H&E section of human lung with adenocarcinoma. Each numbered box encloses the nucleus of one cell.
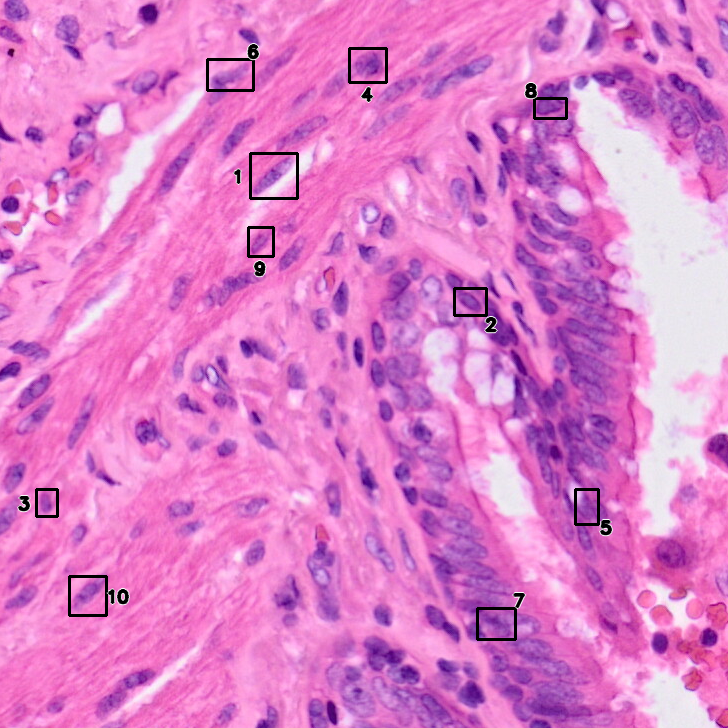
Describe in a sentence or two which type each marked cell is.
Cells 1, 3, 4, 6, 9 and 10 are smooth muscle cells or pericytes. Cells 2, 5, 7 and 8 are ciliated epithelial cells.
